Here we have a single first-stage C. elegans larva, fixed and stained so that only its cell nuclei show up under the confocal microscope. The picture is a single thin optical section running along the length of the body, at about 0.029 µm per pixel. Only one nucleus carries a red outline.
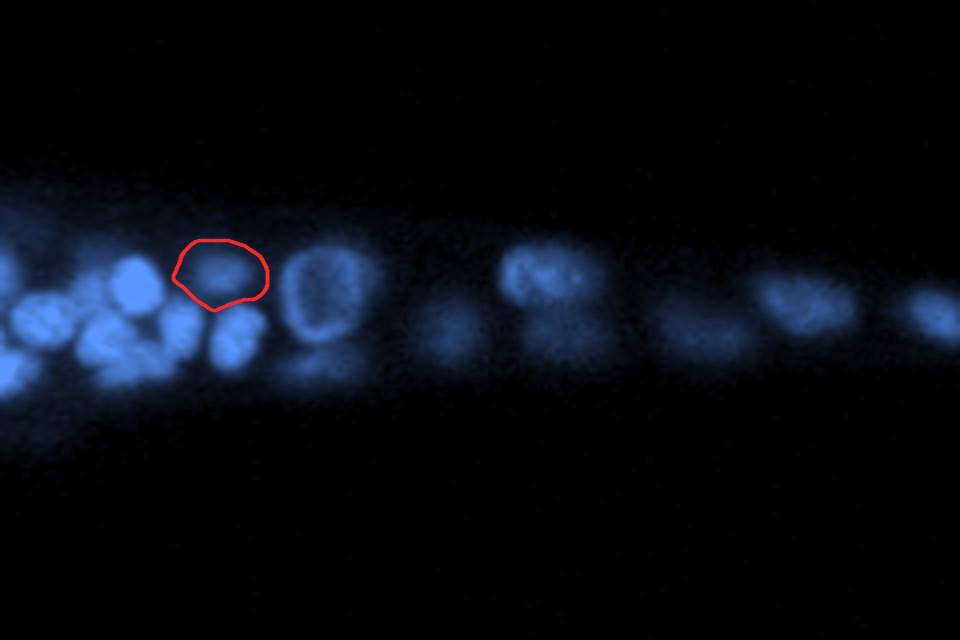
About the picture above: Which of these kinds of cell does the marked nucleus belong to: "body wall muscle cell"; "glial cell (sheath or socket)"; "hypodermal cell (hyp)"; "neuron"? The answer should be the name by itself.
body wall muscle cell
